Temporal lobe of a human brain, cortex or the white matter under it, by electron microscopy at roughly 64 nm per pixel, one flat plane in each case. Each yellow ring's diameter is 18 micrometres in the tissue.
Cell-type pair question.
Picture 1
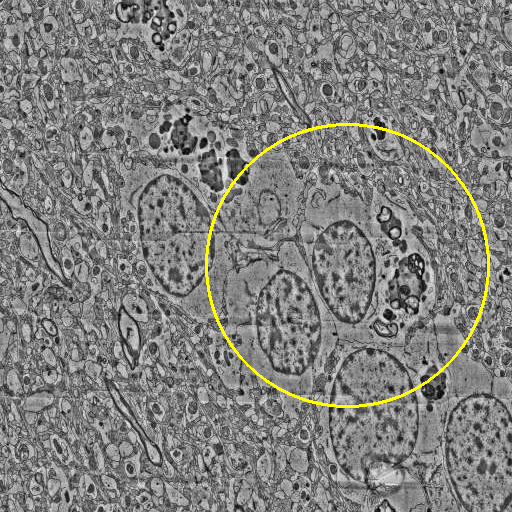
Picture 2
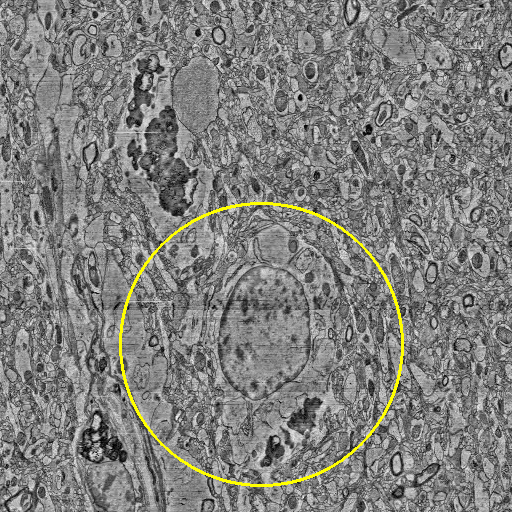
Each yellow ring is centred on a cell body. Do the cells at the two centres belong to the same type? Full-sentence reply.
Yes, the two cells belong to the same type.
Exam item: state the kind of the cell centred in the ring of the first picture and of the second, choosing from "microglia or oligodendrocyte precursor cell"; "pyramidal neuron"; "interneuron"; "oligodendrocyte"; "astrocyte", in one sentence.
Each of the two pictures has an astrocyte at the ring centre.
